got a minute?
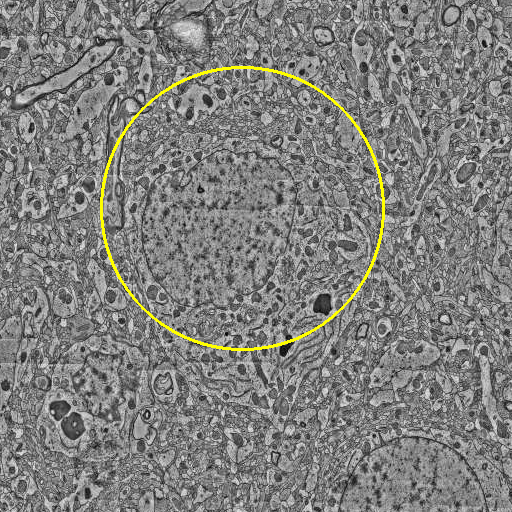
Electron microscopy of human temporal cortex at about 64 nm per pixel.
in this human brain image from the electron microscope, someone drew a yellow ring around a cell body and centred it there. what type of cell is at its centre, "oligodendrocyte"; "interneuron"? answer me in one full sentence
It's an interneuron at the middle of that yellow ring in the shot.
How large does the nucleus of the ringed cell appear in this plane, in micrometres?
In this plane the nucleus measures roughly 11 by 9 micrometres.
